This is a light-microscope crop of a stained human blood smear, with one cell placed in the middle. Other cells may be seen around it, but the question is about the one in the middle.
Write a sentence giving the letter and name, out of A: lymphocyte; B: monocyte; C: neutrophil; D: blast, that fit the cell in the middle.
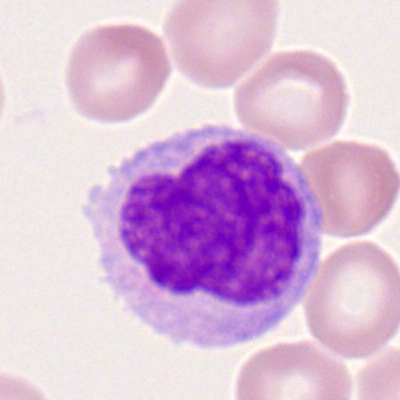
Option B is the correct one; it names the central cell as a monocyte.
